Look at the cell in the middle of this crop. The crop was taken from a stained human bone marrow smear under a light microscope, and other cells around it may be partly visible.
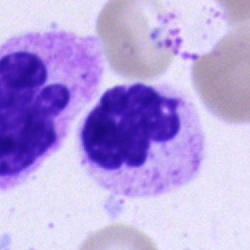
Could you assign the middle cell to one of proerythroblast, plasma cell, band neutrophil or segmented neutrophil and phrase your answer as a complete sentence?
Here the cell in the middle is a segmented neutrophil.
